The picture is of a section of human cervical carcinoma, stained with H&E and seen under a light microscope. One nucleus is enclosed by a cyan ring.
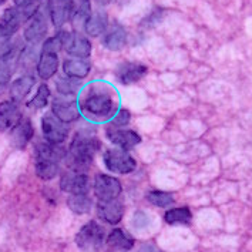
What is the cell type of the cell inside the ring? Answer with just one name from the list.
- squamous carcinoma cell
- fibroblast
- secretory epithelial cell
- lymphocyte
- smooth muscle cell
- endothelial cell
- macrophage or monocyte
secretory epithelial cell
